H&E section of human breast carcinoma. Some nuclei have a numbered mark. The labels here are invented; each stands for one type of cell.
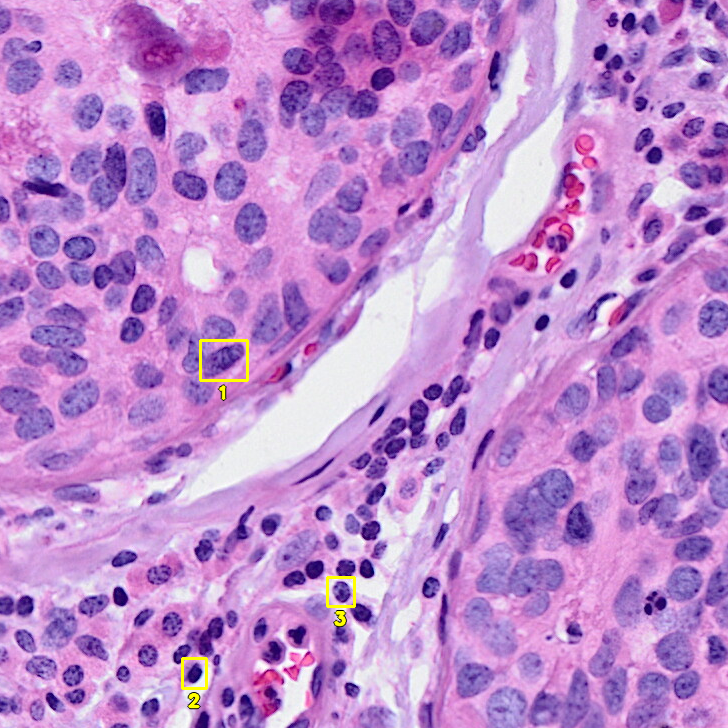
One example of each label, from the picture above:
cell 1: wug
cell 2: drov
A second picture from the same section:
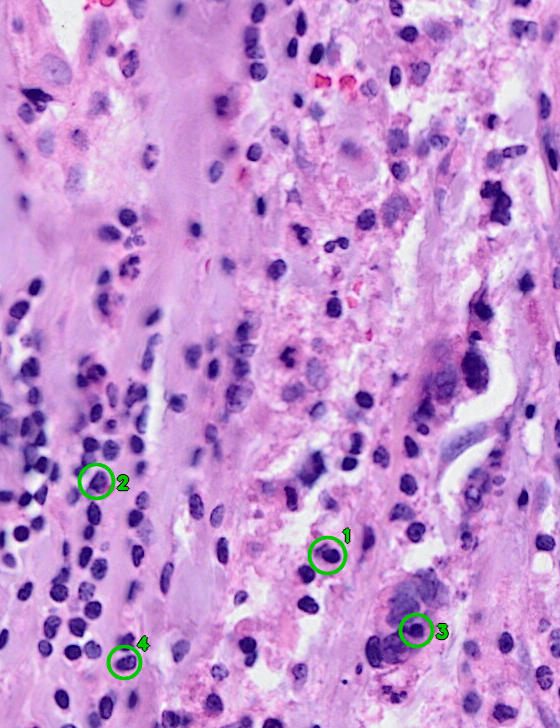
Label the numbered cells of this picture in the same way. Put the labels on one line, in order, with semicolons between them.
drov; drov; wug; drov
